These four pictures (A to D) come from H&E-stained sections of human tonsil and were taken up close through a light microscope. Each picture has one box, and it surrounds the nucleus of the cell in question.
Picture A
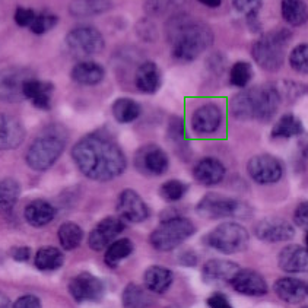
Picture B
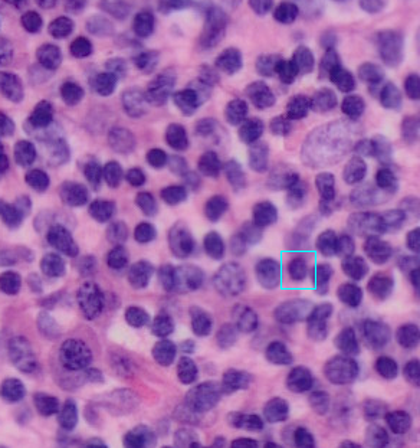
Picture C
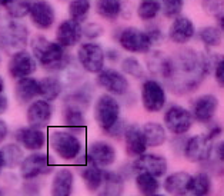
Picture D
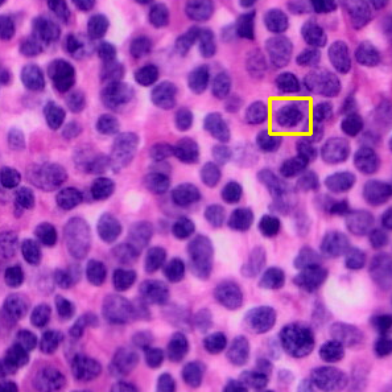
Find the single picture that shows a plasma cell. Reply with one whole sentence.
Picture A shows the plasma cell.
